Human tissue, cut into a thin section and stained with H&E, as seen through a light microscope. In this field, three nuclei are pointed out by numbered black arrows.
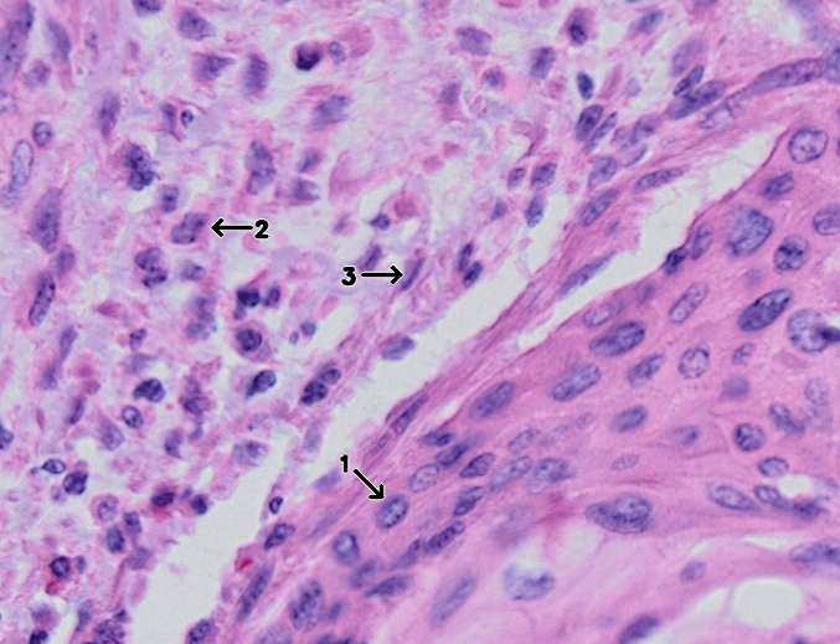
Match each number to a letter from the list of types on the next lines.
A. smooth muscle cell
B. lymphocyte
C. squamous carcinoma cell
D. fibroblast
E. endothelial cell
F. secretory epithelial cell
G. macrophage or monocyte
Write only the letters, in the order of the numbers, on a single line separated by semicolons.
C; G; D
